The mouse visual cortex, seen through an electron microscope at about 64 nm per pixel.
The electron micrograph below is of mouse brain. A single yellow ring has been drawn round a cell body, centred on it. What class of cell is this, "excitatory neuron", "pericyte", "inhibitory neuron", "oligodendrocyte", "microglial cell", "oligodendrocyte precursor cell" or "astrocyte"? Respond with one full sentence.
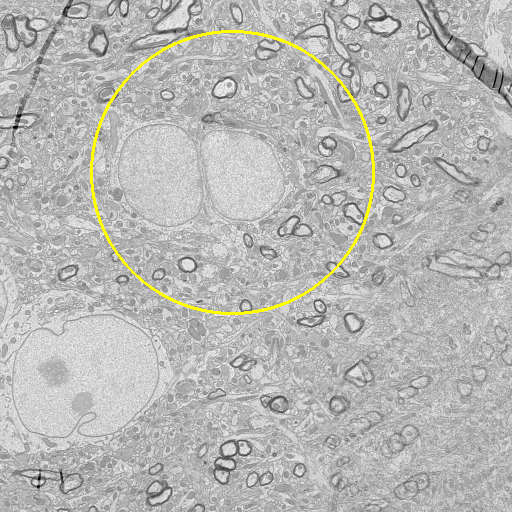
In the micrograph, the cell centred inside the yellow ring is an astrocyte.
